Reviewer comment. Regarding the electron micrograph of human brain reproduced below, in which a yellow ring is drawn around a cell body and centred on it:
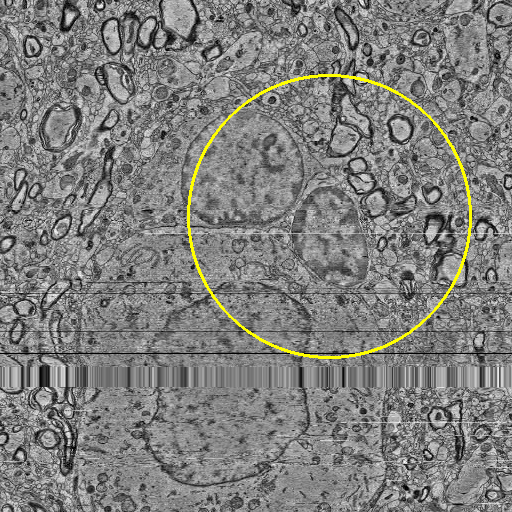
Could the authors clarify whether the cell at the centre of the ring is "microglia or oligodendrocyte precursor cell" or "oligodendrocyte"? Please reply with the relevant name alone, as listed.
microglia or oligodendrocyte precursor cell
